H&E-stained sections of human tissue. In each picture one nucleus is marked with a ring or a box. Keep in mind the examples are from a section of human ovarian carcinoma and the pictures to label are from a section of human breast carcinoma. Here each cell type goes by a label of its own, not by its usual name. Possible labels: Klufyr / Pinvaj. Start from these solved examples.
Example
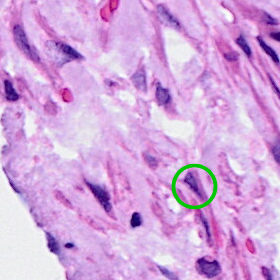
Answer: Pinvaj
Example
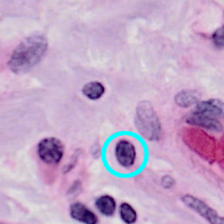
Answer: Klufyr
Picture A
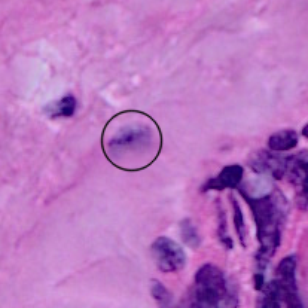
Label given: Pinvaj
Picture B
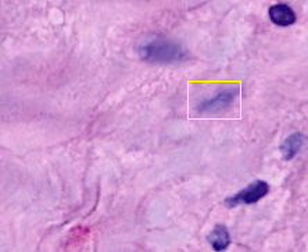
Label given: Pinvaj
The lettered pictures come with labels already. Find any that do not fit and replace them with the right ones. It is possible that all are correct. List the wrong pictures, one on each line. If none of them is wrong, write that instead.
Every label is right.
